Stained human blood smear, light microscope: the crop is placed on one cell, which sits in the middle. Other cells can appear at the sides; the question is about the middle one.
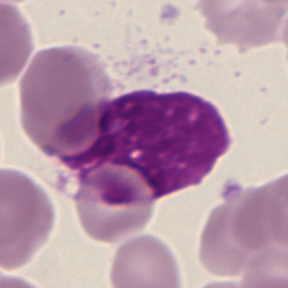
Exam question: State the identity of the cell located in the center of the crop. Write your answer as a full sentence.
In the middle of this smear crop, the cell is a smudge cell.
